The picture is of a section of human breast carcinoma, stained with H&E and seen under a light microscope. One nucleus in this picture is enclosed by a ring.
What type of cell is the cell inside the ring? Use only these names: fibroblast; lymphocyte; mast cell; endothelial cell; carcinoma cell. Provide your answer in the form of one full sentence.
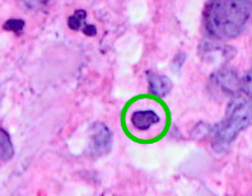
It is as a lymphocyte that the cell inside the ring is classified.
